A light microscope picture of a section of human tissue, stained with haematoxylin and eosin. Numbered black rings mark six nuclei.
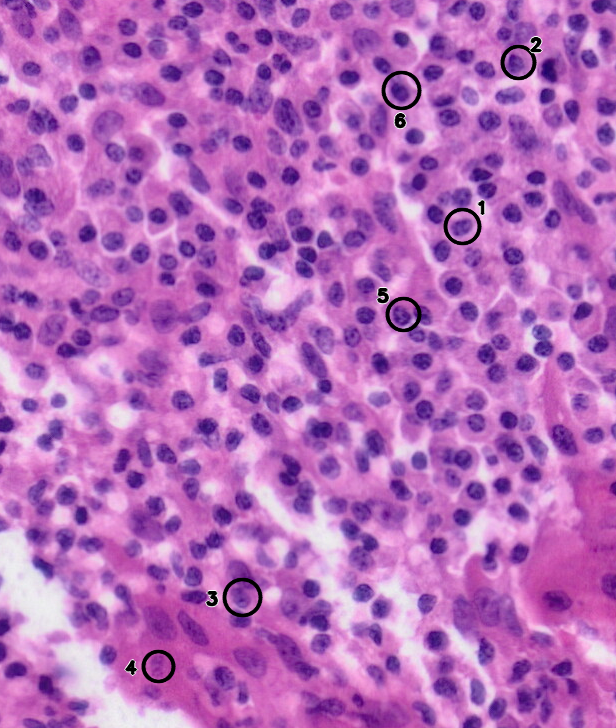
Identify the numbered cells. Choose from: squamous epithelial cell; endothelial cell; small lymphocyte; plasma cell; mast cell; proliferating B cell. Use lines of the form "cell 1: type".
cell 1: plasma cell
cell 2: plasma cell
cell 3: squamous epithelial cell
cell 4: squamous epithelial cell
cell 5: plasma cell
cell 6: plasma cell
